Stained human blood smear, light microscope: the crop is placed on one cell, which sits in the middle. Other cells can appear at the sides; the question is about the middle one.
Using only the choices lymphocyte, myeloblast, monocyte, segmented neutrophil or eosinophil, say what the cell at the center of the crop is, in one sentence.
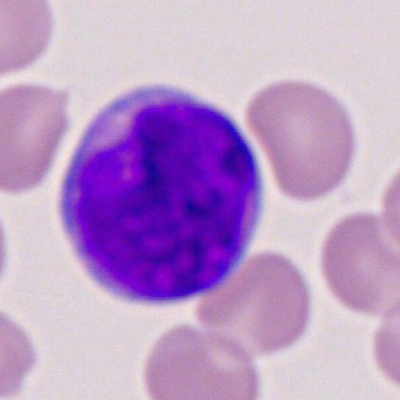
Within this crop, a myeloblast occupies the central position.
